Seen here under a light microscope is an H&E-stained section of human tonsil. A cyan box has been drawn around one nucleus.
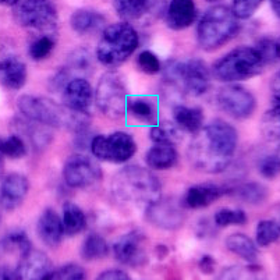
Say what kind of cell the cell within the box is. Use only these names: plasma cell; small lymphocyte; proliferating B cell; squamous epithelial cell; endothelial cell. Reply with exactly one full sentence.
As far as its identity is concerned, the cell within the box is a proliferating B cell.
